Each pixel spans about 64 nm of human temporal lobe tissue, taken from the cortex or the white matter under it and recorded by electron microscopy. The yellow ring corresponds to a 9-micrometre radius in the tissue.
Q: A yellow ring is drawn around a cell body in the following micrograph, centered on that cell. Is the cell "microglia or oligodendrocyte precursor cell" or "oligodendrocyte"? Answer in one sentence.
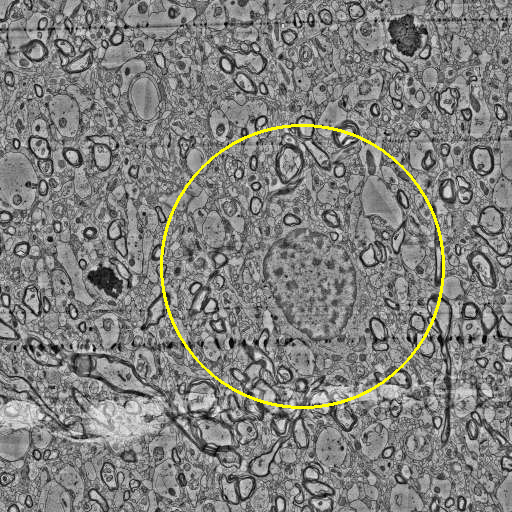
The cell in the center of the ring is an oligodendrocyte.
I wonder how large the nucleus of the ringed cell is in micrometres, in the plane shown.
Approximately 7 x 6 micrometres in this plane.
